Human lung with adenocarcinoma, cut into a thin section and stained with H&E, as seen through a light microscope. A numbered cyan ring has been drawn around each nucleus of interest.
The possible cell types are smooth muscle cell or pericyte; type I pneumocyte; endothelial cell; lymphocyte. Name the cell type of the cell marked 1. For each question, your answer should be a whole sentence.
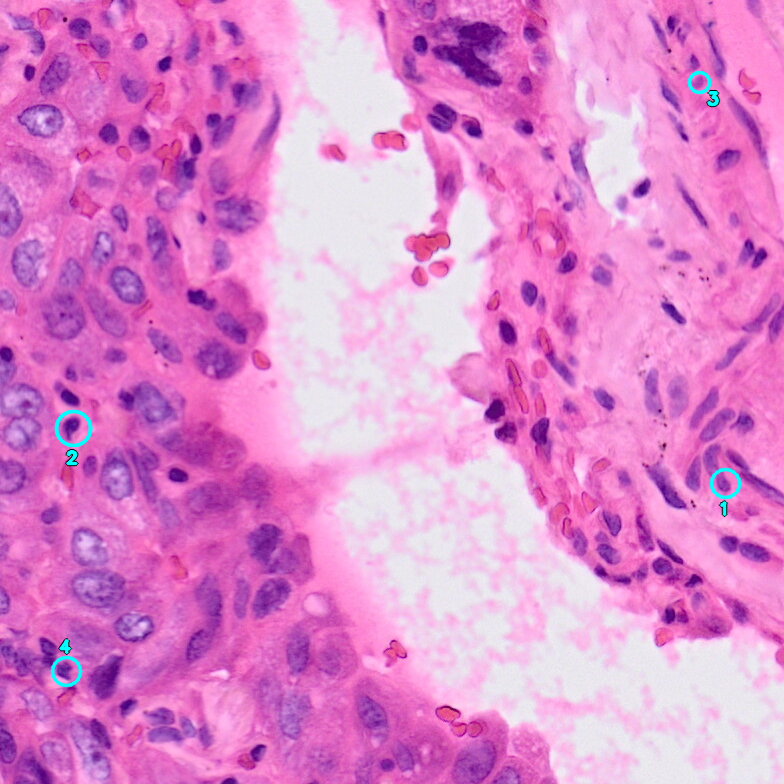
To a smooth muscle cell or pericyte belongs the nucleus marked 1.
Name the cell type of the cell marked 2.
Cell 2, among those numbered, is a lymphocyte.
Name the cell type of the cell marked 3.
The one numbered 3 among the marked cells is a smooth muscle cell or pericyte.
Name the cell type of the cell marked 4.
The cell that bears the number 4 is a lymphocyte.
